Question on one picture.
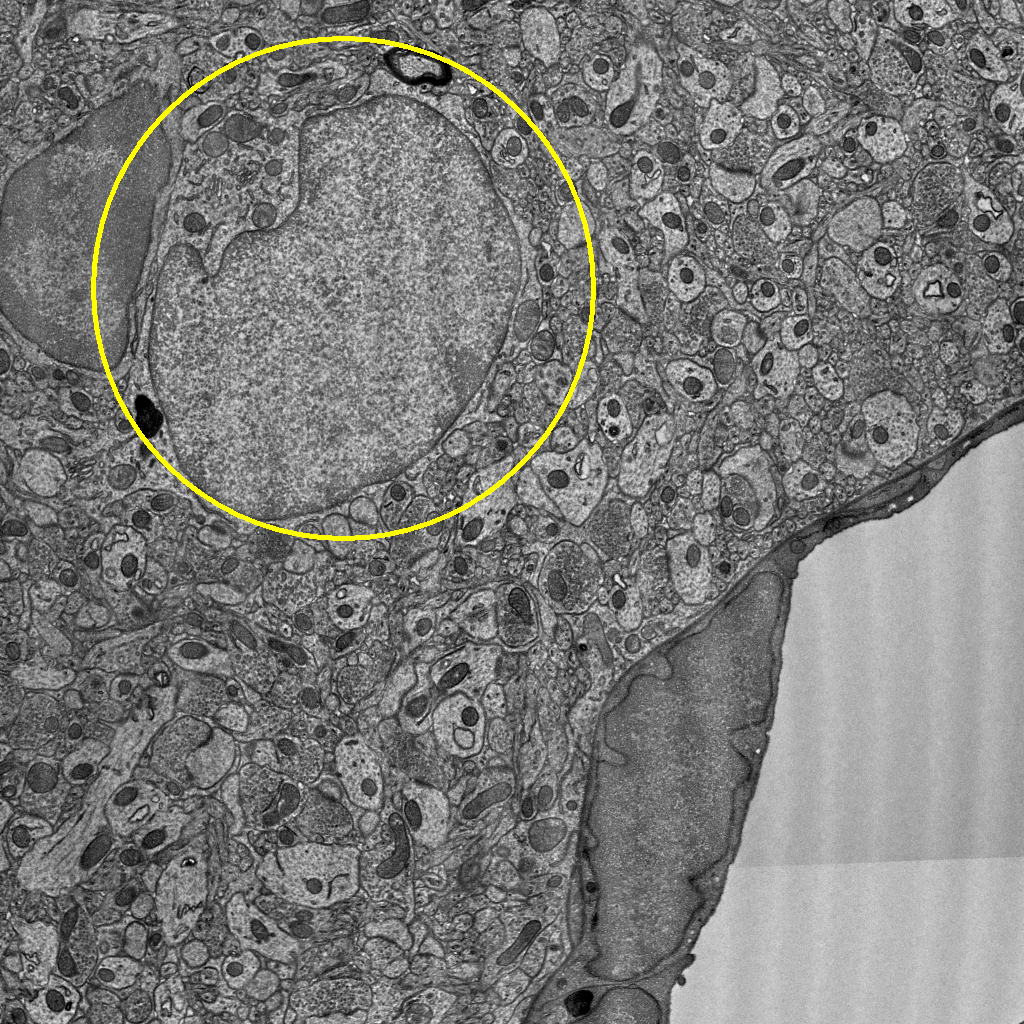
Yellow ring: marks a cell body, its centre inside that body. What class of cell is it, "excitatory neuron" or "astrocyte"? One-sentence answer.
This is an astrocyte, the cell at the ring's centre.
